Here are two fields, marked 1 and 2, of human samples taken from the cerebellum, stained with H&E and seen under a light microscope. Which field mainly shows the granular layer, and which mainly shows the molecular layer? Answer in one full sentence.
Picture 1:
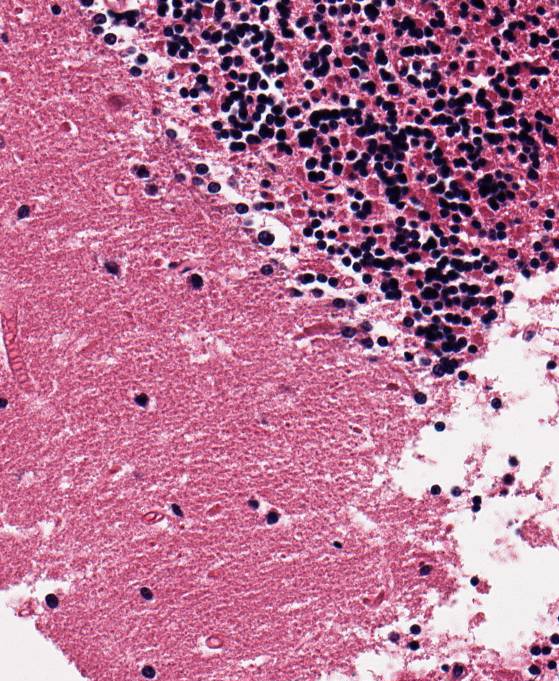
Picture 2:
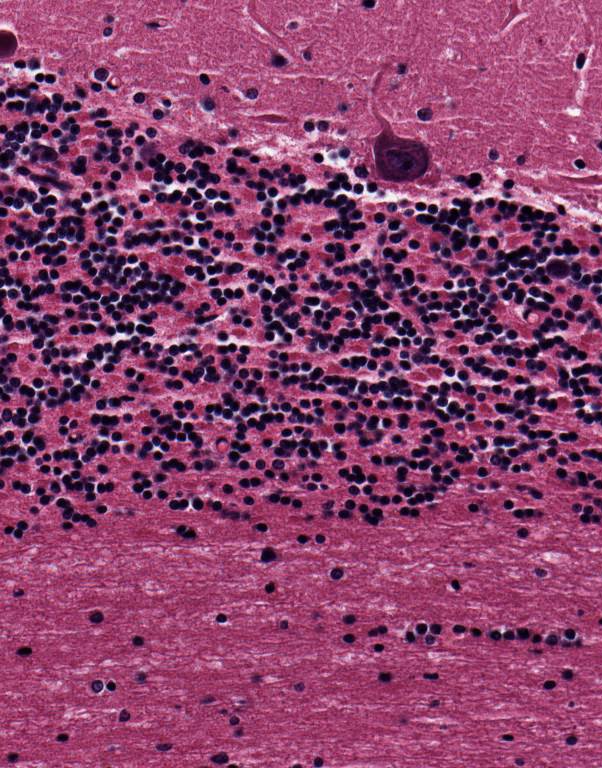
Picture 2 mainly shows the granular layer, while picture 1 mainly shows the molecular layer.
